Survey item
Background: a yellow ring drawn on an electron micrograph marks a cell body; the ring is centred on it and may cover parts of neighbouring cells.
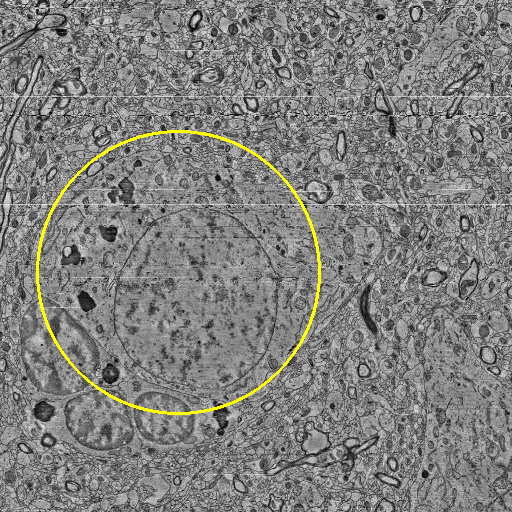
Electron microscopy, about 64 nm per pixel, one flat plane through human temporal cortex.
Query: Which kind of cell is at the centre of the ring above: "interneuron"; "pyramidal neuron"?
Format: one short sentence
The cell in the middle of the ring is a pyramidal neuron.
